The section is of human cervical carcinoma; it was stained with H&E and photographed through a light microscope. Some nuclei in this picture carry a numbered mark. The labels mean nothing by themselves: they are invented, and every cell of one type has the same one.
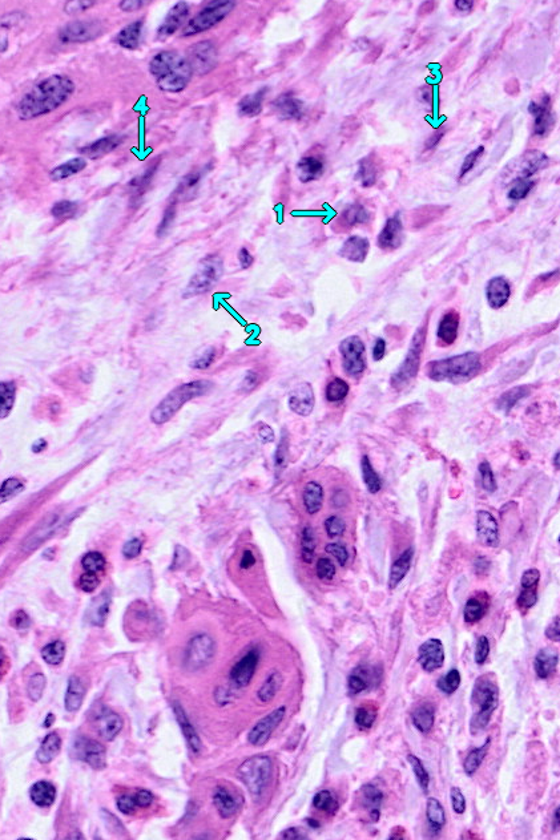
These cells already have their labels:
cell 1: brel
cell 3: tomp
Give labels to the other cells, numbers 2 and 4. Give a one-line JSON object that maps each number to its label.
{"2": "tomp", "4": "tomp"}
